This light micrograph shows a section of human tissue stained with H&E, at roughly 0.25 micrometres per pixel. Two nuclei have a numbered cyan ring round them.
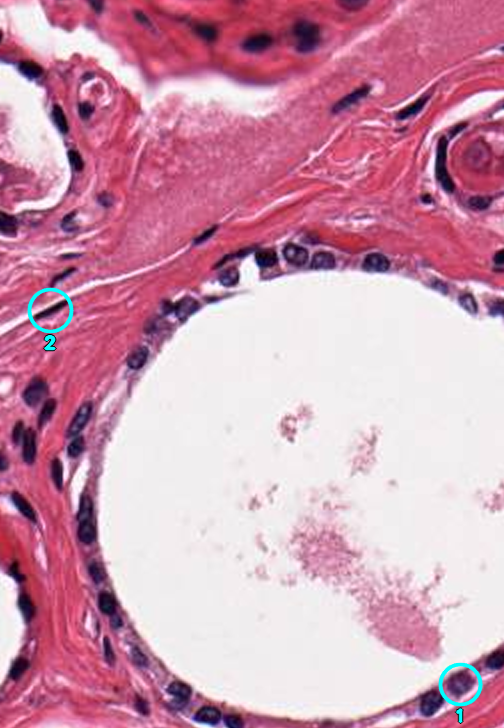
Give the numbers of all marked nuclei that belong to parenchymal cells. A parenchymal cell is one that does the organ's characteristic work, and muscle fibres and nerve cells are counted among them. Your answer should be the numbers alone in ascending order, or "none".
1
